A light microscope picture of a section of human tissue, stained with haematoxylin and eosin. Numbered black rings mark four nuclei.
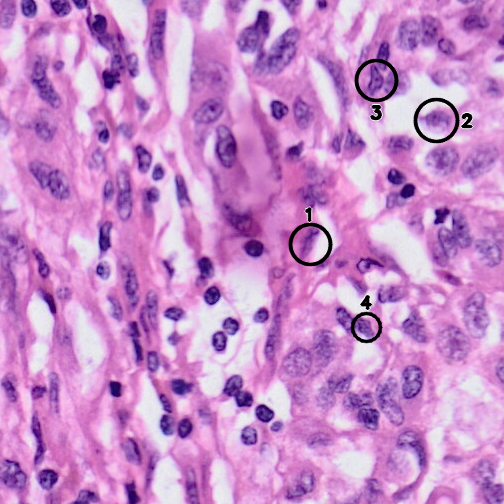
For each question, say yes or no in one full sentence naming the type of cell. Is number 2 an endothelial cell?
No, not an endothelial cell: the cell with number 2 is a melanoma cell.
